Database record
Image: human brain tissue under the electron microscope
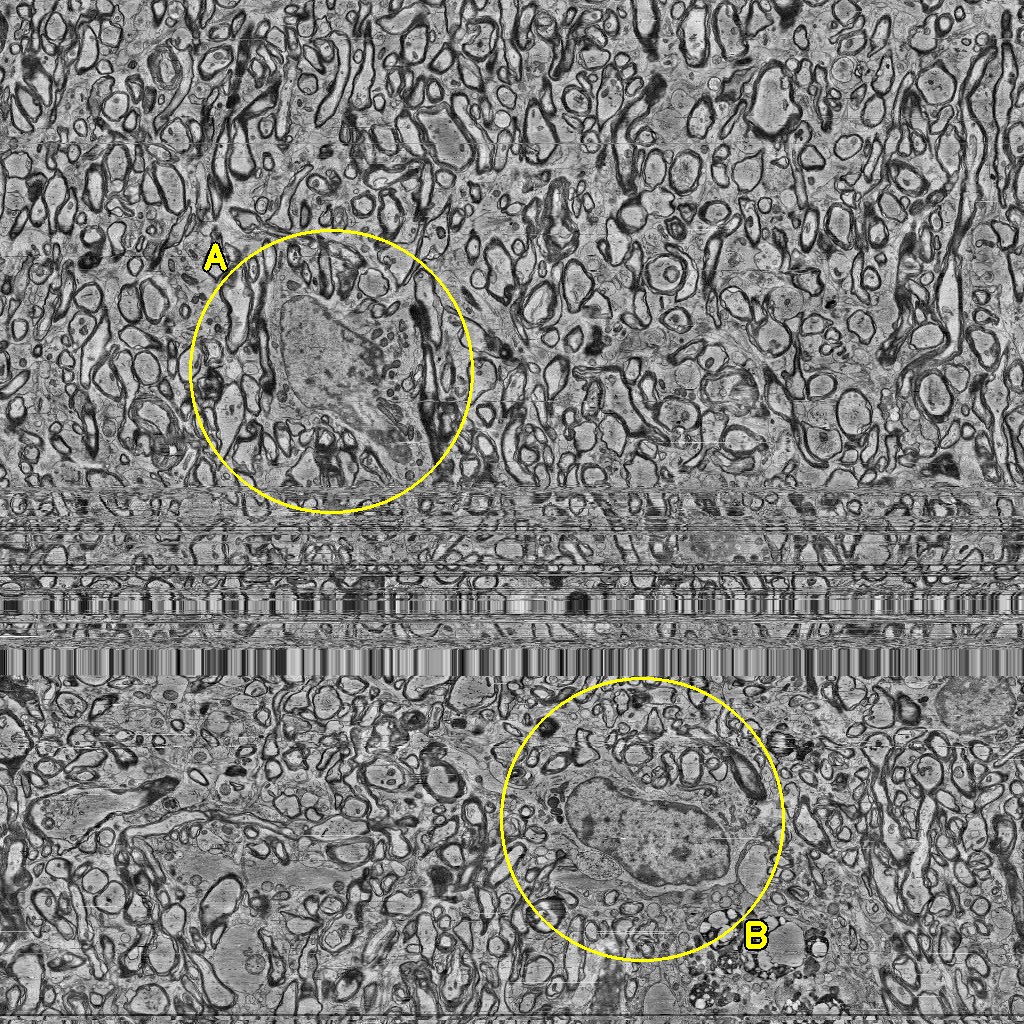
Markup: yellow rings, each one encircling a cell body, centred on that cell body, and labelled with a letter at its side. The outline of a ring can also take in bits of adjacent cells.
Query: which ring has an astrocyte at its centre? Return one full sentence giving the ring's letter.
In this image, that kind of cell lies at the centre of the ring labelled A.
